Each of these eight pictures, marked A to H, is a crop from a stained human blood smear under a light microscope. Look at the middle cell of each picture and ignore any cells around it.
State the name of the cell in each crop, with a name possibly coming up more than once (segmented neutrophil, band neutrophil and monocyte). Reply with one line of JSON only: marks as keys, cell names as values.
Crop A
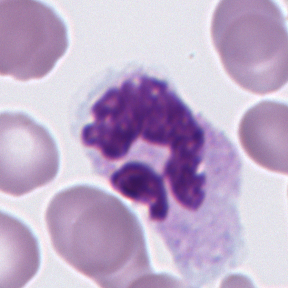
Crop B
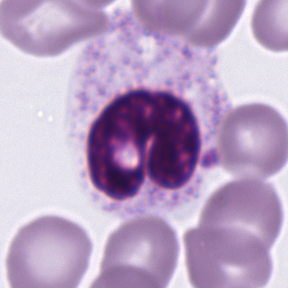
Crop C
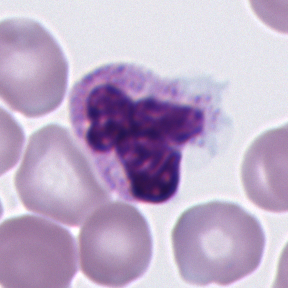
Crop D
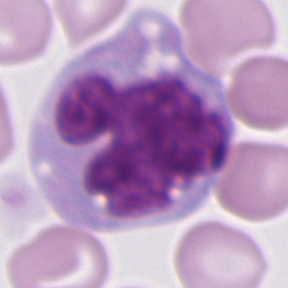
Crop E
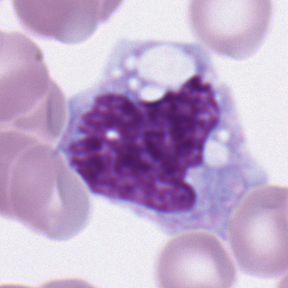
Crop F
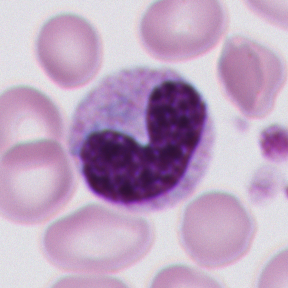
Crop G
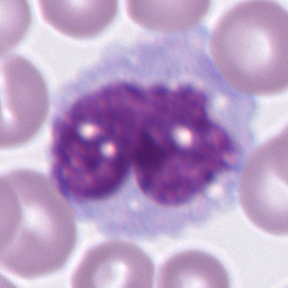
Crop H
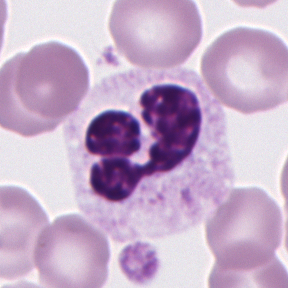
{"A": "segmented neutrophil", "B": "band neutrophil", "C": "segmented neutrophil", "D": "monocyte", "E": "monocyte", "F": "band neutrophil", "G": "monocyte", "H": "segmented neutrophil"}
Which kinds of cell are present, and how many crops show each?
segmented neutrophil: 3
monocyte: 3
band neutrophil: 2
